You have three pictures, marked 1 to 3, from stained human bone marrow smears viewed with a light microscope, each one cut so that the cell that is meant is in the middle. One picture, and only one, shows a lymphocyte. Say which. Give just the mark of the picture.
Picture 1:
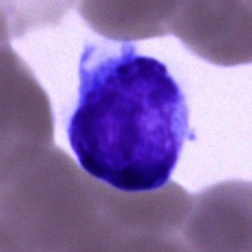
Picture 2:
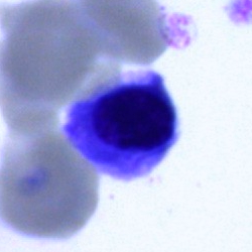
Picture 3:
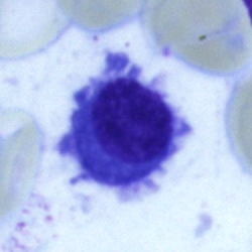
1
